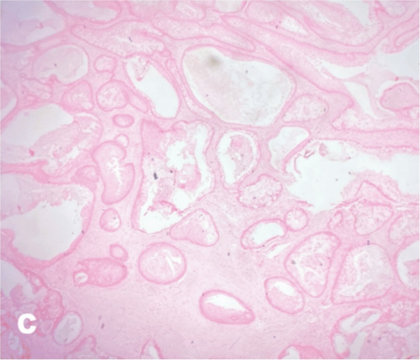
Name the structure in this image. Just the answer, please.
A: glandular spaces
